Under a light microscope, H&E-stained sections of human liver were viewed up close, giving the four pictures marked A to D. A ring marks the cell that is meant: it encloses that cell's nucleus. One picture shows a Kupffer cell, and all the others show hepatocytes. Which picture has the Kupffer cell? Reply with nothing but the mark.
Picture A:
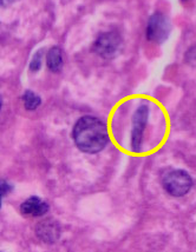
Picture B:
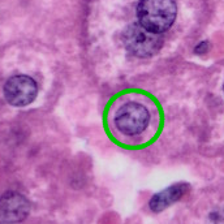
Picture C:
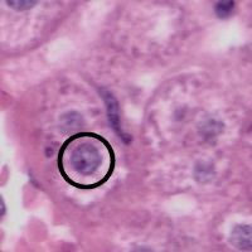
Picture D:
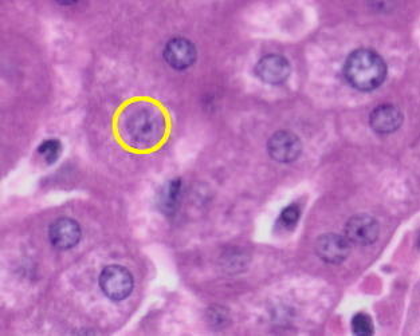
A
